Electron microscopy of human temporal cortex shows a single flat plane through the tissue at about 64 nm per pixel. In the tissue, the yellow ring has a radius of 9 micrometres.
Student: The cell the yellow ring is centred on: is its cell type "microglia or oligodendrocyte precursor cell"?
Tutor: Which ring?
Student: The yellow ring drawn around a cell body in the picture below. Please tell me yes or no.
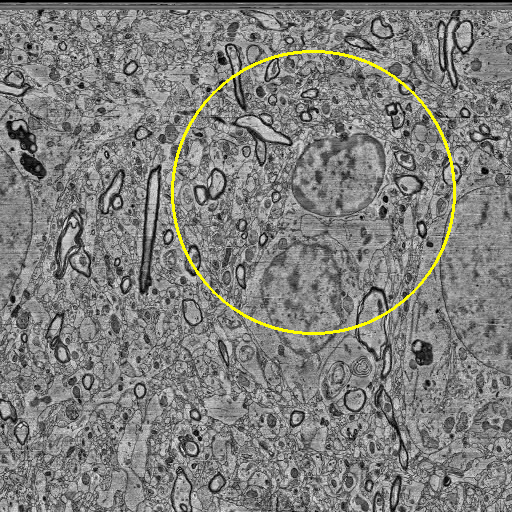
yes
